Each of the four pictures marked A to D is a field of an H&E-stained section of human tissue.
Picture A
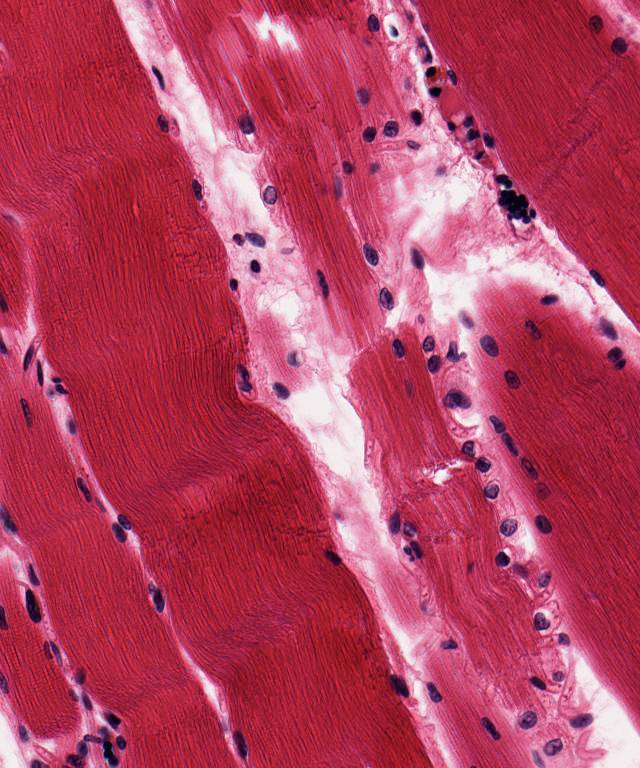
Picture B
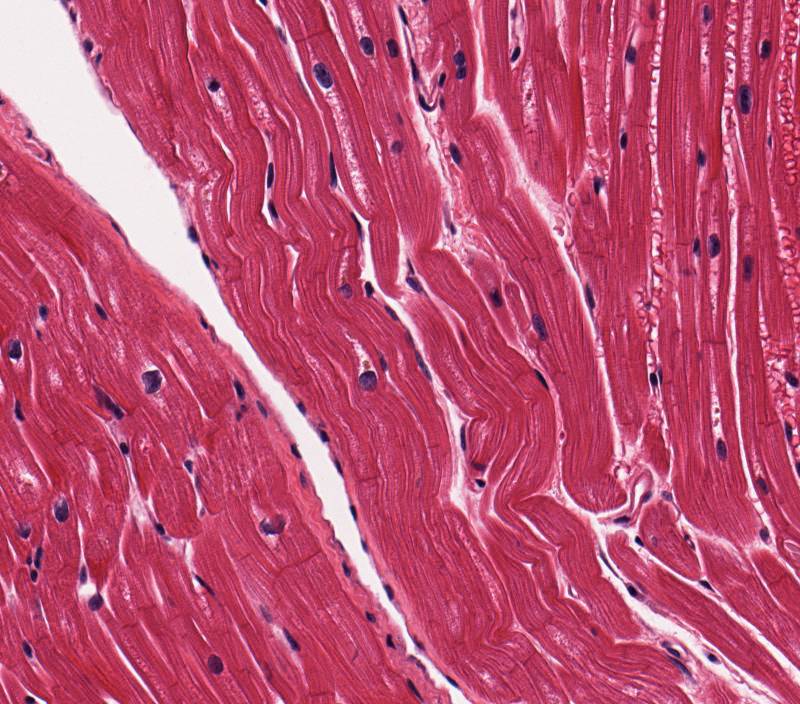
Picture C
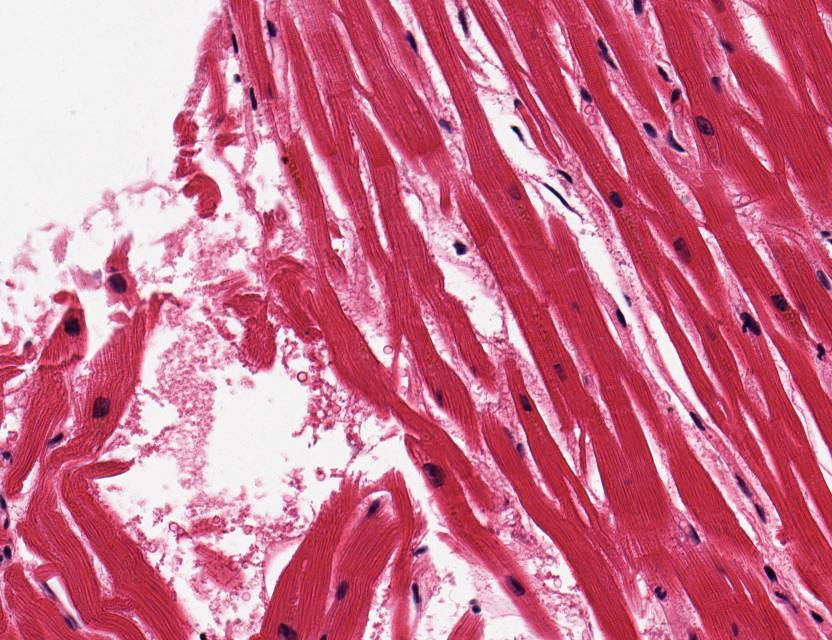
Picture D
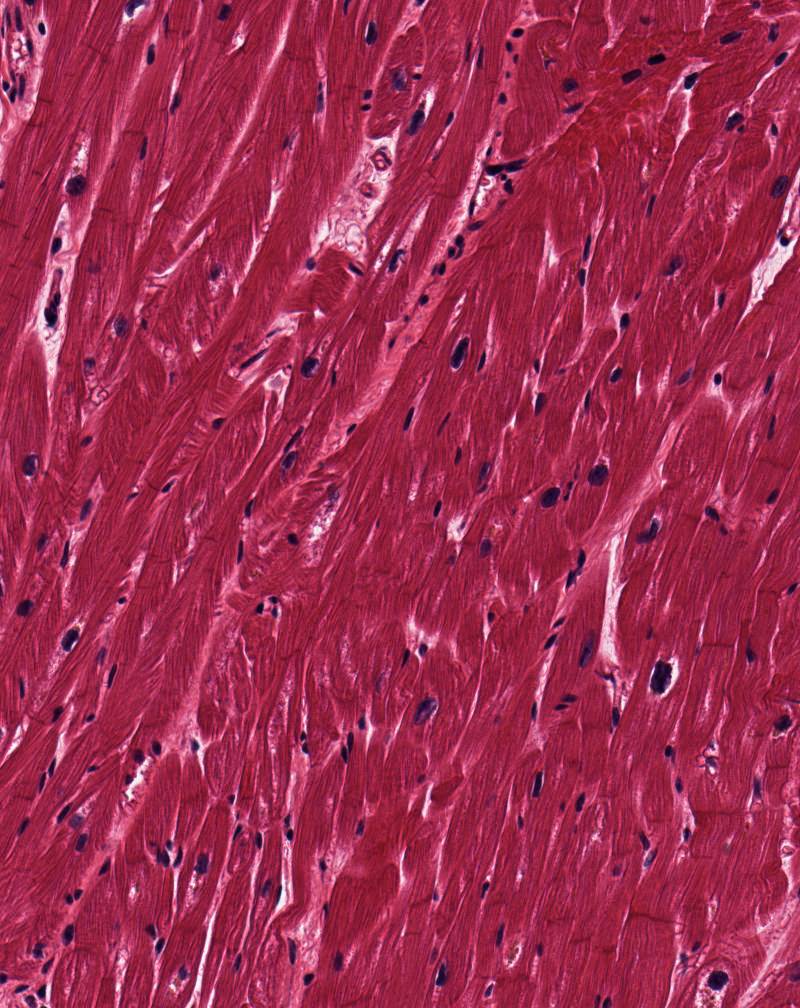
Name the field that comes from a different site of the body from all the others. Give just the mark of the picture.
A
